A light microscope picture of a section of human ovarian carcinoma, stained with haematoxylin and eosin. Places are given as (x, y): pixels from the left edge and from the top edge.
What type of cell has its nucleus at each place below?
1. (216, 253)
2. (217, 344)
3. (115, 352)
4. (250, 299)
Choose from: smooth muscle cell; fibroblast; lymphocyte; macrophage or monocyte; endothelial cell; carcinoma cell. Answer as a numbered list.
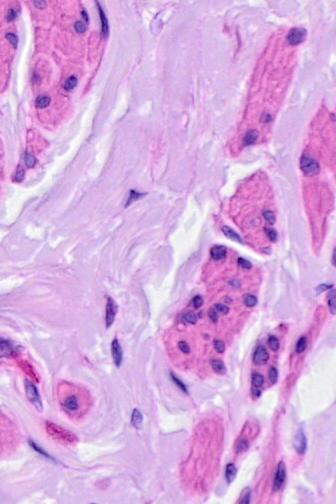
1. smooth muscle cell
2. smooth muscle cell
3. fibroblast
4. smooth muscle cell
